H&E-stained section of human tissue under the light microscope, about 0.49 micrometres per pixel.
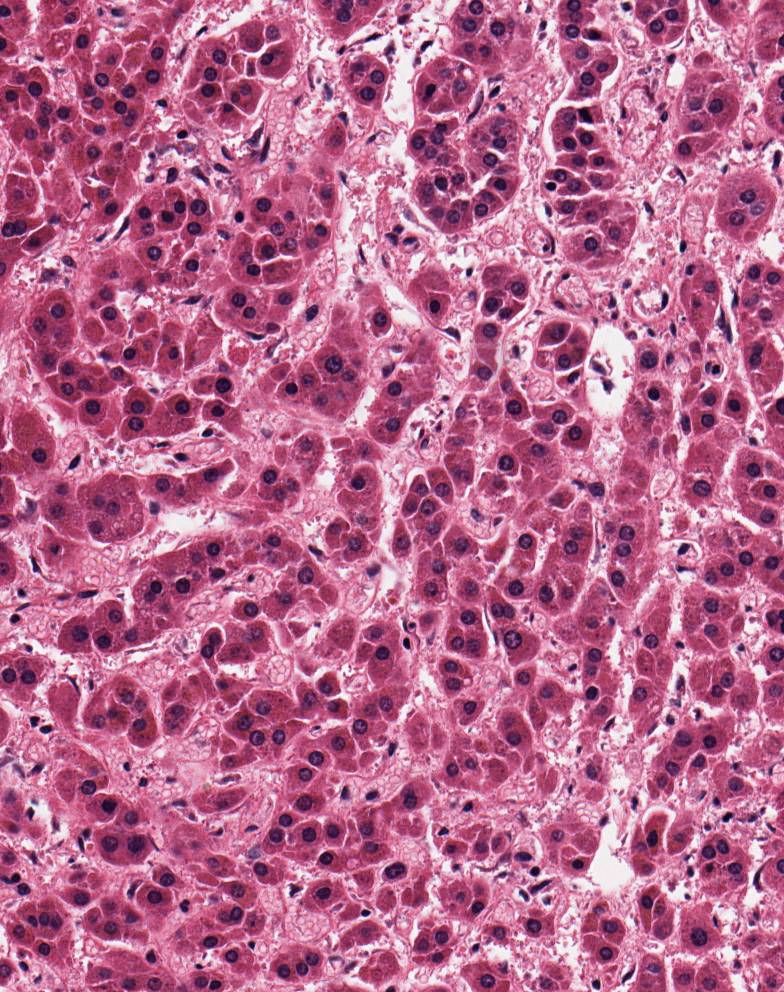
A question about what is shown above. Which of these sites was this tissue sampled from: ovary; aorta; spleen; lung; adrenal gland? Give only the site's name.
adrenal gland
